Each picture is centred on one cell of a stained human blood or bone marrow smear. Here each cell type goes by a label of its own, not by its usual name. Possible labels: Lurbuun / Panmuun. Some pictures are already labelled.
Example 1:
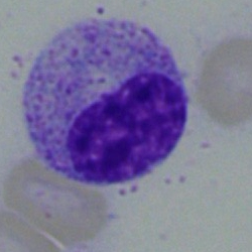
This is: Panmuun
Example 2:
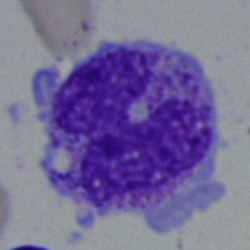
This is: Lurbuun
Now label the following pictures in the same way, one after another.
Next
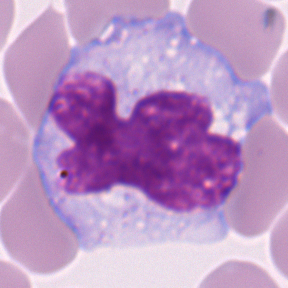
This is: Lurbuun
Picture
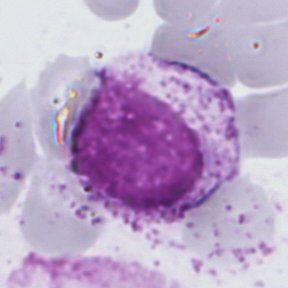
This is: Panmuun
